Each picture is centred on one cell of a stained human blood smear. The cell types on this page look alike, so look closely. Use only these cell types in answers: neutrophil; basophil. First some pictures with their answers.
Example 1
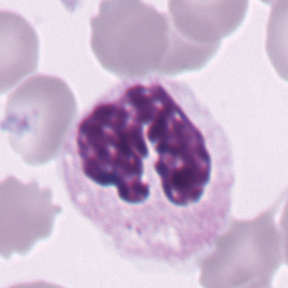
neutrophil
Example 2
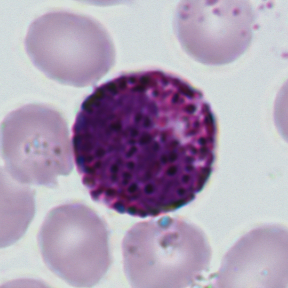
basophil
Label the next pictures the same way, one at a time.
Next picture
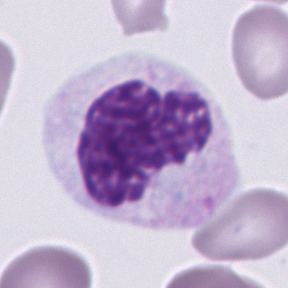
neutrophil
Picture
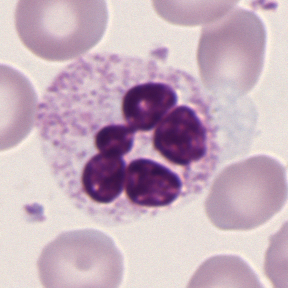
neutrophil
